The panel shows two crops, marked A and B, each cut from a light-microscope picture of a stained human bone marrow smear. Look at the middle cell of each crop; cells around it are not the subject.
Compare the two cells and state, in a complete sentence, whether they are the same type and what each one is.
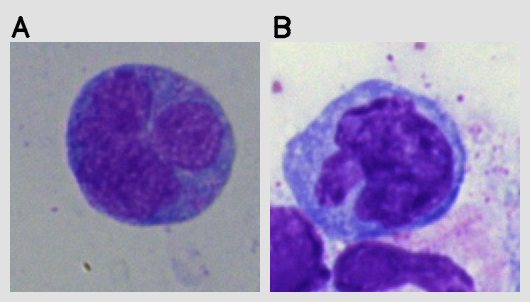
Yes, in the middle of both crops lie monocytes.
